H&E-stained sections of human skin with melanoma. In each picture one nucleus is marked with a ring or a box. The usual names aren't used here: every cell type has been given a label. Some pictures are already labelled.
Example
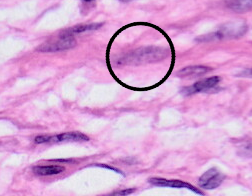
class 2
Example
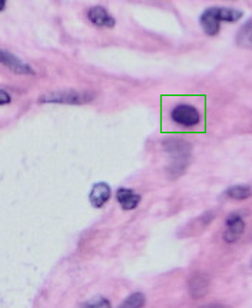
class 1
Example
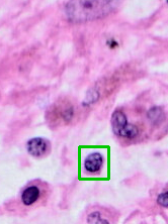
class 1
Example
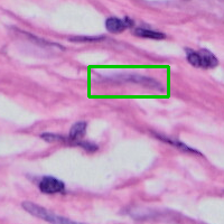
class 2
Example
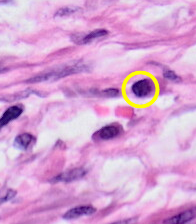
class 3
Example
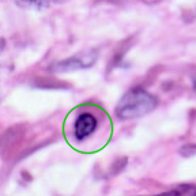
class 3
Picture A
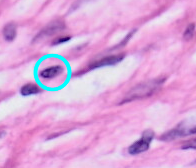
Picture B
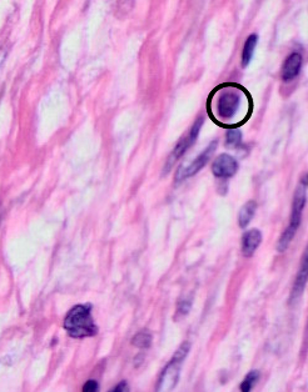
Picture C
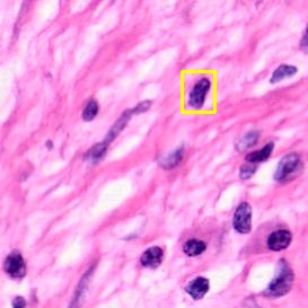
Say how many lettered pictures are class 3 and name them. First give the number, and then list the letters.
Count: 1 (B)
